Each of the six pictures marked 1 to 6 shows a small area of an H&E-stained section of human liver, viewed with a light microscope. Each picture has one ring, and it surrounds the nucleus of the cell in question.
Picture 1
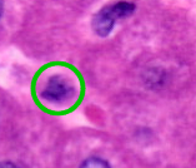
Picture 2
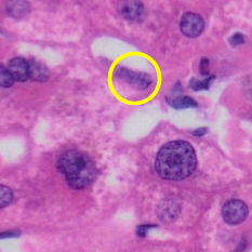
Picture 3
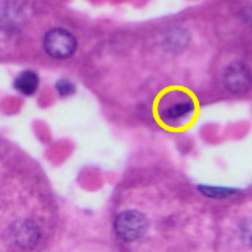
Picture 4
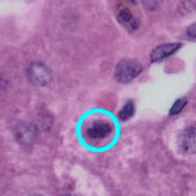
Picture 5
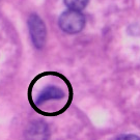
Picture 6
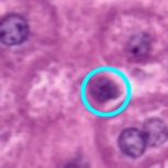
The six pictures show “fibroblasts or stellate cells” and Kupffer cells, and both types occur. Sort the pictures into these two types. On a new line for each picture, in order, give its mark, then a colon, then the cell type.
1: Kupffer cell
2: Kupffer cell
3: fibroblast or stellate cell
4: fibroblast or stellate cell
5: fibroblast or stellate cell
6: Kupffer cell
